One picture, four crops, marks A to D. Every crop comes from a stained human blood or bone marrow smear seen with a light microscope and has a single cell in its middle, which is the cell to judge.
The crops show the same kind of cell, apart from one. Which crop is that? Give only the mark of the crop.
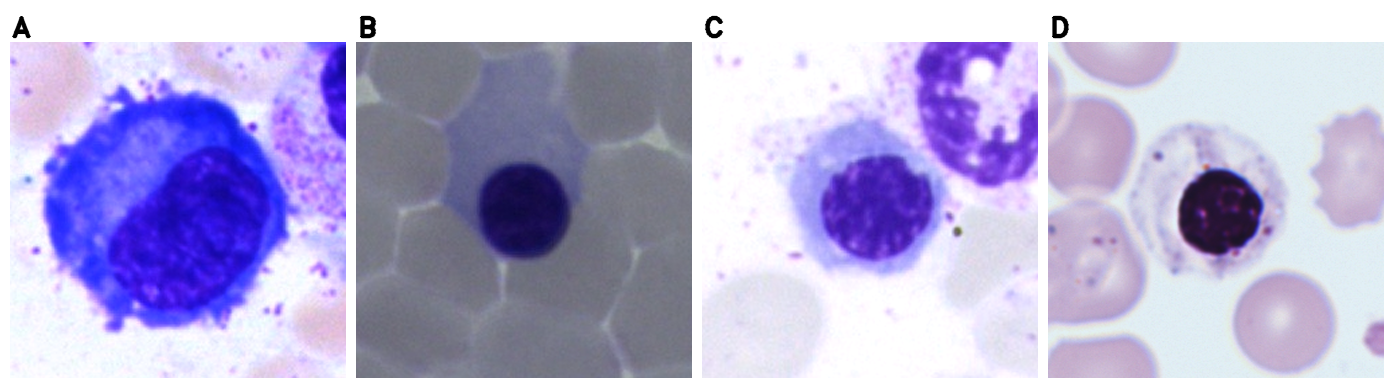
A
